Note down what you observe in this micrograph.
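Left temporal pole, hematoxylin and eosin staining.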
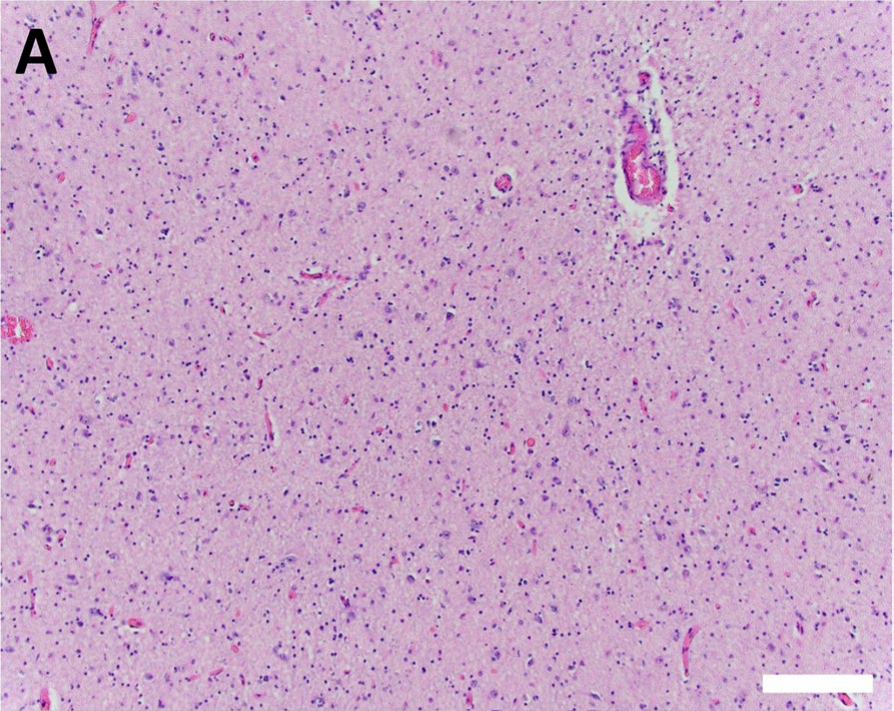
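Low-power view of brain parenchyma stained pink, with many small dark nuclei spread evenly through it and scattered small blood vessels containing red cells. A larger vessel near the top right has a clear space around it with small dark nuclei gathered along its wall.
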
